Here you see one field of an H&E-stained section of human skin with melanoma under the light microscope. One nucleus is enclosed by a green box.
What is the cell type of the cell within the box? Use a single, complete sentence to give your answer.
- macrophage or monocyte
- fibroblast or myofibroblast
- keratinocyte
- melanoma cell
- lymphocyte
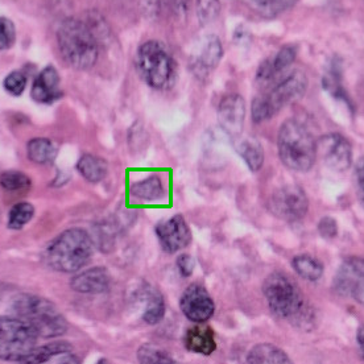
To be brief about it, the cell within the box is a macrophage or monocyte.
